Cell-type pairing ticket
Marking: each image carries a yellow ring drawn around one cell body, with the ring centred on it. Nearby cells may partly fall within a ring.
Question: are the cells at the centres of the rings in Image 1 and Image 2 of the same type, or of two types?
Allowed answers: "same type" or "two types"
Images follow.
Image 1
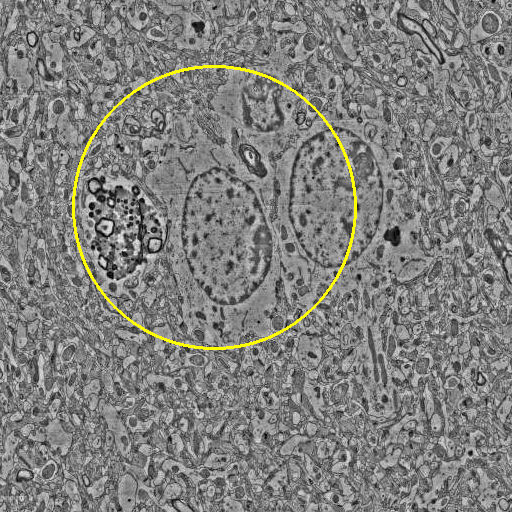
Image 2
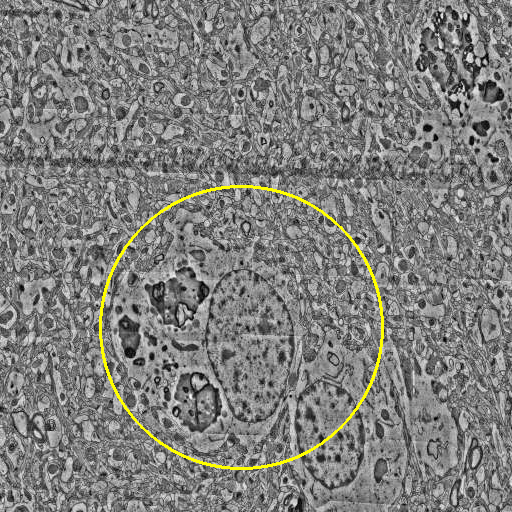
same type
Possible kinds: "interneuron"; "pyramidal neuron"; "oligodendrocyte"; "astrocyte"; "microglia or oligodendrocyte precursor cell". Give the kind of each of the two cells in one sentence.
In each of the two pictures, the ringed cell is an astrocyte.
